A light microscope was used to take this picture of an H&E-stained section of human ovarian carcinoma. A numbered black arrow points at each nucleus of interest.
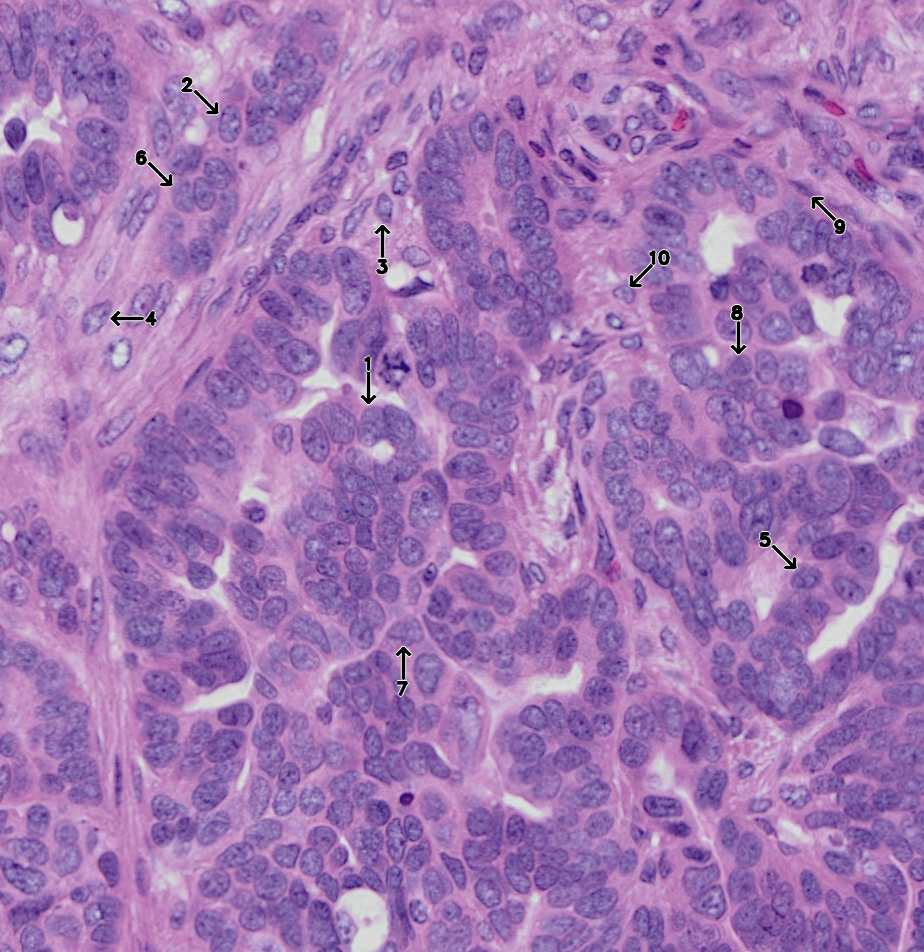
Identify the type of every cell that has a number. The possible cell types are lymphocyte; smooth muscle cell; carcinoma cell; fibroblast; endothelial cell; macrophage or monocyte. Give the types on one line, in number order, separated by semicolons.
carcinoma cell; carcinoma cell; fibroblast; fibroblast; carcinoma cell; carcinoma cell; carcinoma cell; carcinoma cell; fibroblast; fibroblast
